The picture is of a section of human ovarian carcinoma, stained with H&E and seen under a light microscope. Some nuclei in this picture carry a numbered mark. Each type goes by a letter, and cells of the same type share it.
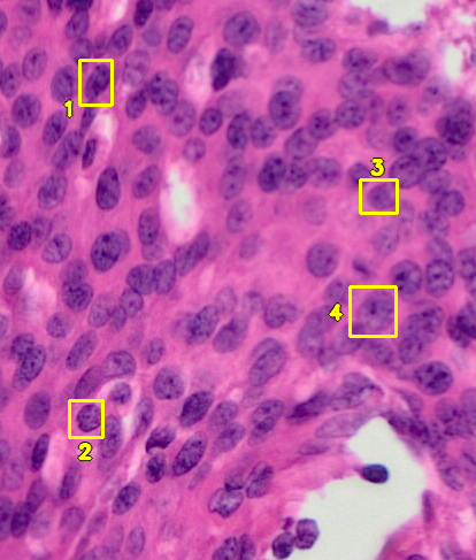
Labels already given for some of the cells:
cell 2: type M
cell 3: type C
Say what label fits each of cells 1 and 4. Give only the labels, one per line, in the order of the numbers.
type C
type C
